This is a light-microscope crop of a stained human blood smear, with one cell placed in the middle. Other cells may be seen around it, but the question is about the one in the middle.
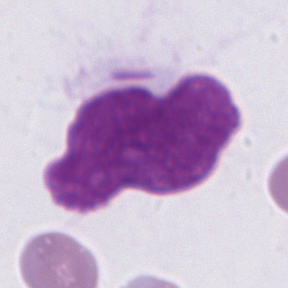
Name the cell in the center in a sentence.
In the center of this field lies a smudge cell.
